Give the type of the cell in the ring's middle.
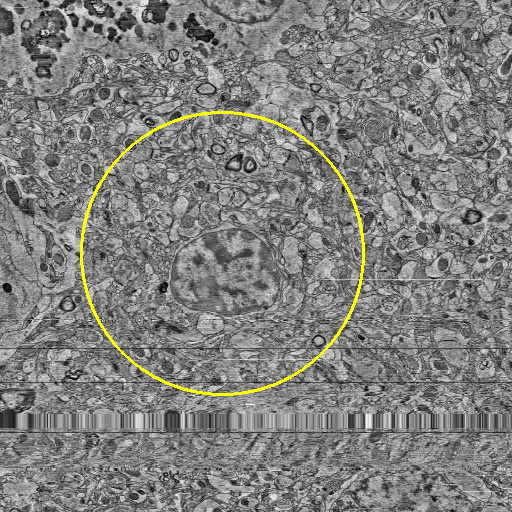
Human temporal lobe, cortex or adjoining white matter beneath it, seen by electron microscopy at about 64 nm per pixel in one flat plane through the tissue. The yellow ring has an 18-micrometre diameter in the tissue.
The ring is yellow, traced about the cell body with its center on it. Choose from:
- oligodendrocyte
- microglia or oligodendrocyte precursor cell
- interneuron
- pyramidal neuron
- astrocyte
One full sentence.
Here, a microglial cell or oligodendrocyte precursor cell is the cell lying at the center of the yellow ring.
